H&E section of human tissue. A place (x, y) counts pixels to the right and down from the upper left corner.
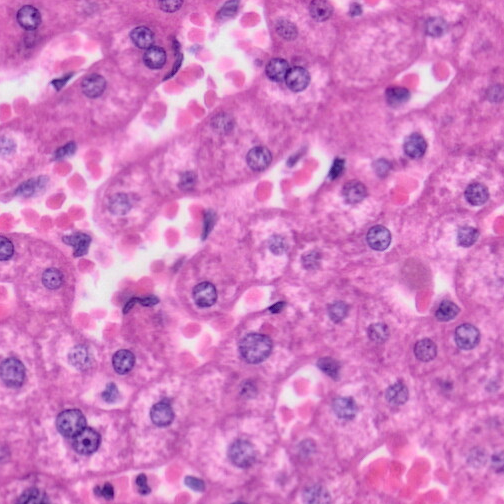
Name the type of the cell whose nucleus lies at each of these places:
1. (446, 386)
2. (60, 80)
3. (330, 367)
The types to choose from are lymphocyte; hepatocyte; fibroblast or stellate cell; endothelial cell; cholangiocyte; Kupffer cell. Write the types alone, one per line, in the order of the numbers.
hepatocyte
endothelial cell
endothelial cell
